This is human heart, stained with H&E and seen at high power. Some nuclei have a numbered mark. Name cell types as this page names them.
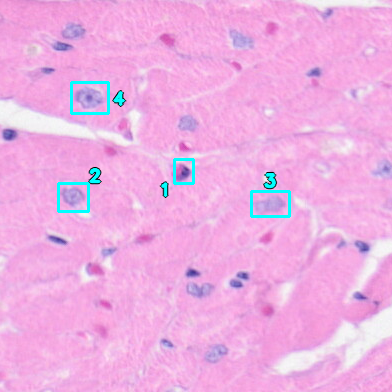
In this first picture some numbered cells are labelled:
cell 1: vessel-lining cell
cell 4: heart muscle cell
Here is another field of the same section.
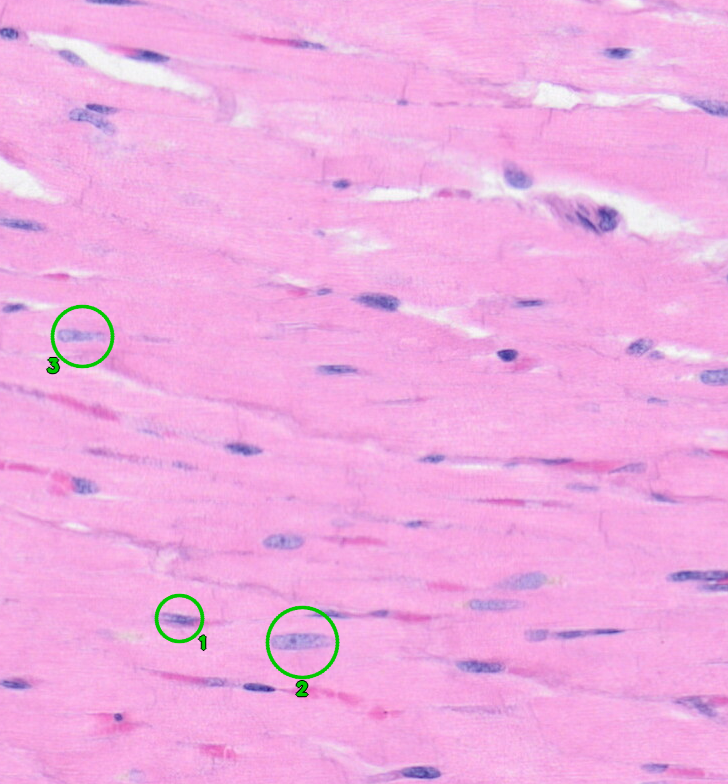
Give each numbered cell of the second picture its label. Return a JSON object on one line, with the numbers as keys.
{"1": "vessel-lining cell", "2": "heart muscle cell", "3": "heart muscle cell"}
